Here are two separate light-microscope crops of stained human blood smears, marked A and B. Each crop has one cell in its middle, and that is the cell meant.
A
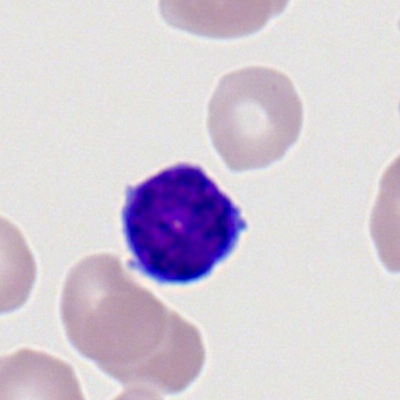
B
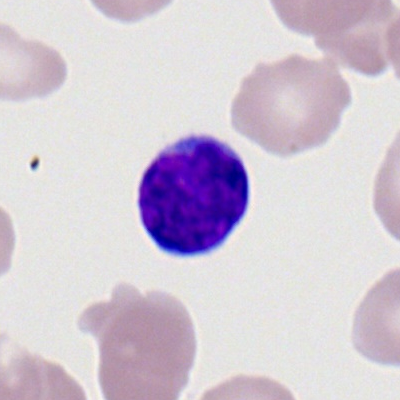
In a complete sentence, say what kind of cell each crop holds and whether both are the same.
Yes, the centre cells of both crops are lymphocytes.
